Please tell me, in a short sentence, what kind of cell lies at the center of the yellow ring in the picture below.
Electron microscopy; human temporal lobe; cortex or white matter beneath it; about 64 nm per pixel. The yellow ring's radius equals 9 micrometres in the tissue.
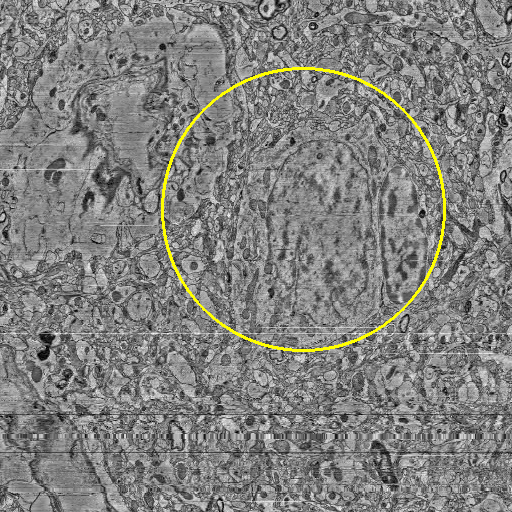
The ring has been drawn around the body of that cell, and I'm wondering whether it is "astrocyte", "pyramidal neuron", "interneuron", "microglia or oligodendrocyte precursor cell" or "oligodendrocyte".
The cell at the center of the ring is an interneuron.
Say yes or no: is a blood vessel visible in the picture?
Yes, a vessel appears in the picture.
